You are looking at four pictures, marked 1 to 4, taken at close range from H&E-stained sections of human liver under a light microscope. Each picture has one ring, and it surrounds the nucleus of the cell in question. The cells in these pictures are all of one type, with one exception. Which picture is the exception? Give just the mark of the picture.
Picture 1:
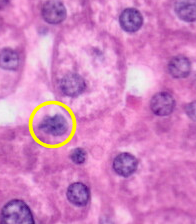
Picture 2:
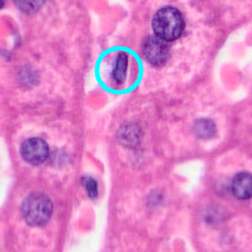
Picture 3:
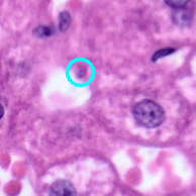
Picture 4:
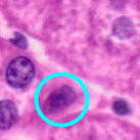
1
